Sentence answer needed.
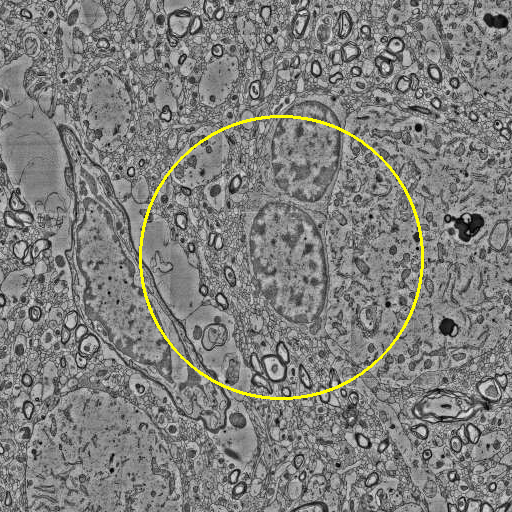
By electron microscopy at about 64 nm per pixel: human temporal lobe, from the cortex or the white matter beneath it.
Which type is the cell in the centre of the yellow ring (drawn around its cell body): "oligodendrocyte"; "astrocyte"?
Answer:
In the centre of the yellow ring is an oligodendrocyte.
